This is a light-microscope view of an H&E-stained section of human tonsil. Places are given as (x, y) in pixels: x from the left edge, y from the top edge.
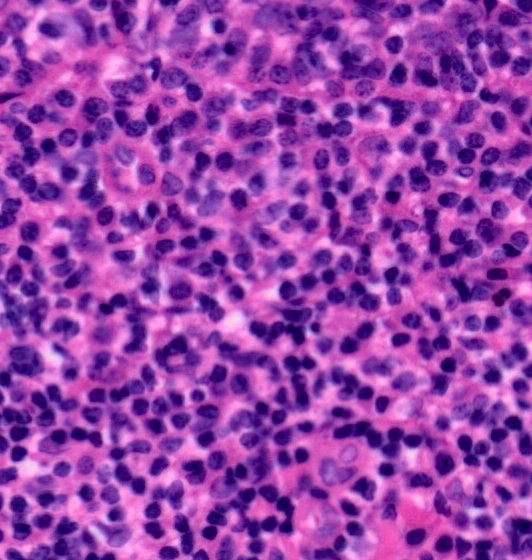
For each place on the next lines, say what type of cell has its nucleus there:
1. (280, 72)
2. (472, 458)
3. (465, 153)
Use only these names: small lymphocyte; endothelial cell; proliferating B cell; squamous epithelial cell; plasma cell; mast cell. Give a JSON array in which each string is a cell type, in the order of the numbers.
["plasma cell", "small lymphocyte", "small lymphocyte"]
